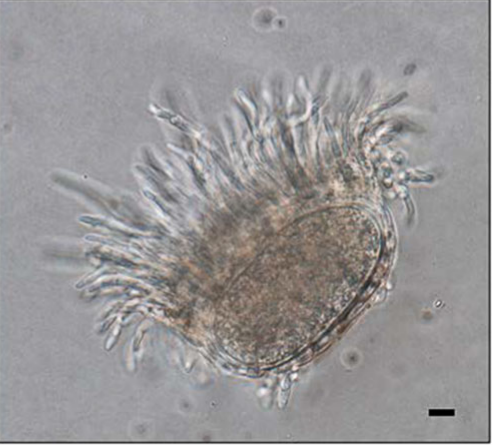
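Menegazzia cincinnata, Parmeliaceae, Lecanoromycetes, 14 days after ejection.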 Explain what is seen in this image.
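The oval spore has a thick, clearly outlined wall and dense granular contents. Numerous short germ tubes sprout from much of its surface, giving it a bristly look.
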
